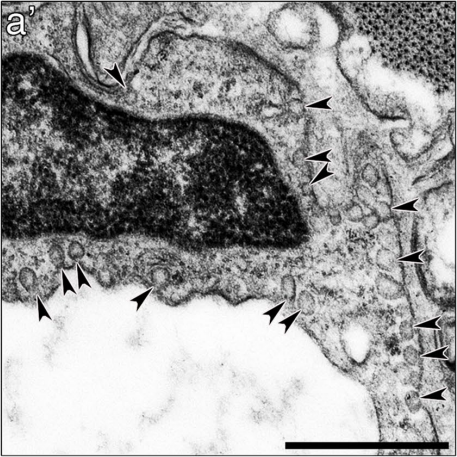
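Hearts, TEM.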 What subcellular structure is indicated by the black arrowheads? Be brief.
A: Membrane-bound caveolae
